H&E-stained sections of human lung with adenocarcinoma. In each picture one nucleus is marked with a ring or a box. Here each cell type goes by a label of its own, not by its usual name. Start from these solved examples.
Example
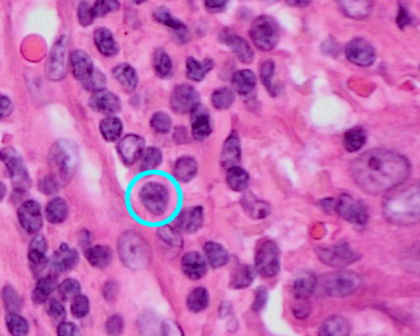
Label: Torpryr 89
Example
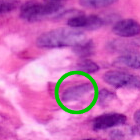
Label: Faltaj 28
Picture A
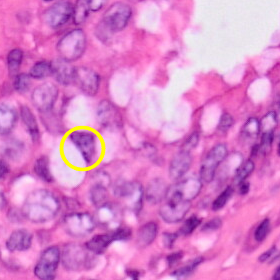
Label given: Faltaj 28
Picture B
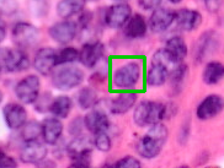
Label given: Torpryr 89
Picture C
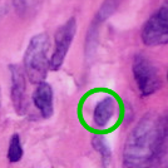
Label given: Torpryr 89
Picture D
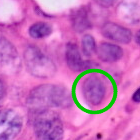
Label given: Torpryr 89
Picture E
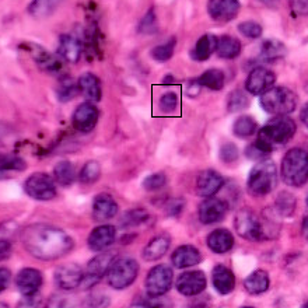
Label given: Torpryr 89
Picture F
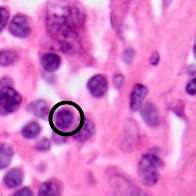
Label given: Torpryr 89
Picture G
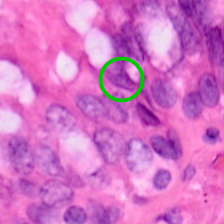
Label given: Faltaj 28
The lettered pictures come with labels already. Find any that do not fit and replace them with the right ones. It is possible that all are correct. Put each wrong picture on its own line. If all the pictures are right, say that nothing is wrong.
D: not Torpryr 89 but Faltaj 28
